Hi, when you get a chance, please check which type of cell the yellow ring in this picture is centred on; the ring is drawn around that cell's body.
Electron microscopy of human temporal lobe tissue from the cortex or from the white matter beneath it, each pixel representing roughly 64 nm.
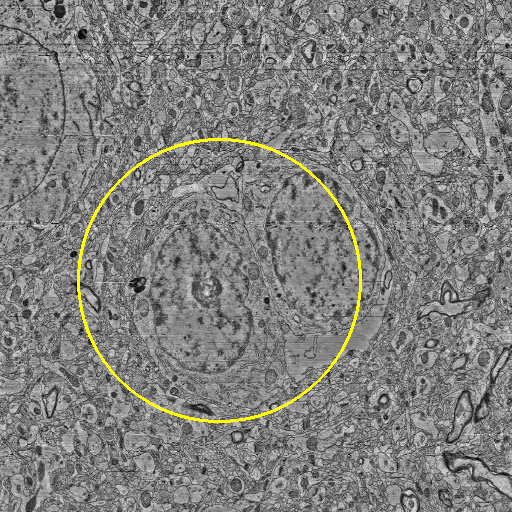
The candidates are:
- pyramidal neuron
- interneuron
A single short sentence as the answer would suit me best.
The ring is drawn around the body of an interneuron.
